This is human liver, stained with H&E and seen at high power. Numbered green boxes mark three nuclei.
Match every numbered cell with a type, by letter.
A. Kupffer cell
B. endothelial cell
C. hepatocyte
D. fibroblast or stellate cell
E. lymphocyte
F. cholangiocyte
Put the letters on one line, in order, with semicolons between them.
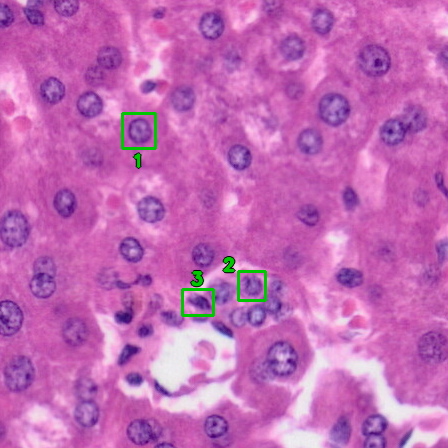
C; F; D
